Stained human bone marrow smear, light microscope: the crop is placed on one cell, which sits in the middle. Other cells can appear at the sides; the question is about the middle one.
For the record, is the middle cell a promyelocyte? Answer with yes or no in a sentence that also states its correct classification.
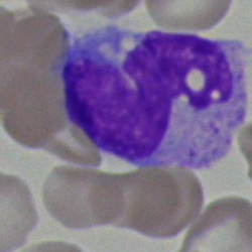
No, the cell positioned in the middle is a monocyte, not a promyelocyte.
